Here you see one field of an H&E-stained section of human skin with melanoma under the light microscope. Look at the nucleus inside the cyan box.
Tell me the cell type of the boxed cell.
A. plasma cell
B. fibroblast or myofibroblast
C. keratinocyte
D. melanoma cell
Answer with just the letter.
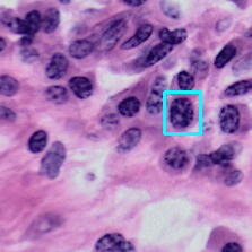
A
